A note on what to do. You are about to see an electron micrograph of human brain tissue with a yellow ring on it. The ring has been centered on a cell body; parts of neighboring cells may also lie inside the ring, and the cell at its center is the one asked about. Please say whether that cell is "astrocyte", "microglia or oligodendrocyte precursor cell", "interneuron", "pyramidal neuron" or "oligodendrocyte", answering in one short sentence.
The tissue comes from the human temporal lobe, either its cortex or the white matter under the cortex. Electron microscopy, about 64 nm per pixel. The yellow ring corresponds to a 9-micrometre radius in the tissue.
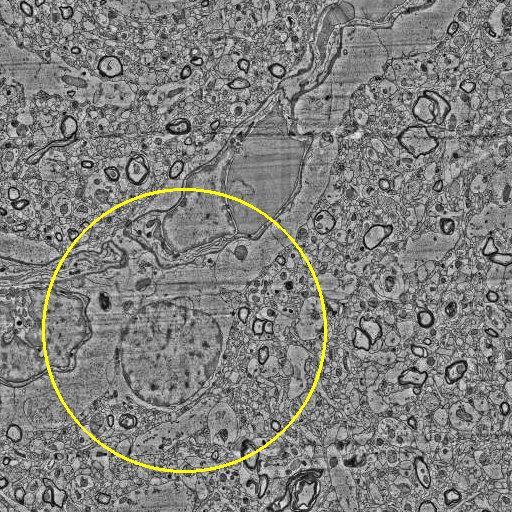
The yellow ring sits on a microglial cell or oligodendrocyte precursor cell.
